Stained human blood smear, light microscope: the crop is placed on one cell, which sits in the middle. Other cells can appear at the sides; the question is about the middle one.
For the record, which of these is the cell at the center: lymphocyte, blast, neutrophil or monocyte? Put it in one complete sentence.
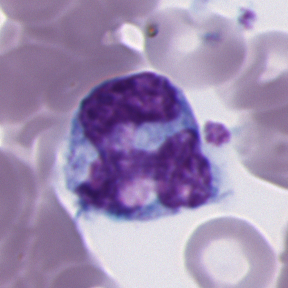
Standing at the centre of this crop is a monocyte.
